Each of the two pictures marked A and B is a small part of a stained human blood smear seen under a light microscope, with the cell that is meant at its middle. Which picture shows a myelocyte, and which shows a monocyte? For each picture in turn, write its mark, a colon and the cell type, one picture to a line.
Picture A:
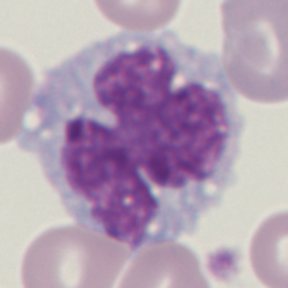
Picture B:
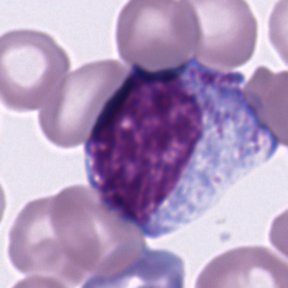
A: monocyte
B: myelocyte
